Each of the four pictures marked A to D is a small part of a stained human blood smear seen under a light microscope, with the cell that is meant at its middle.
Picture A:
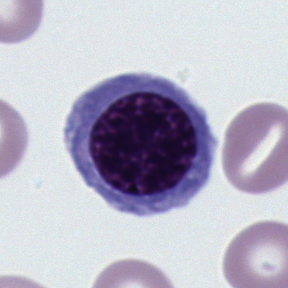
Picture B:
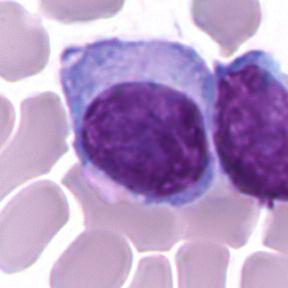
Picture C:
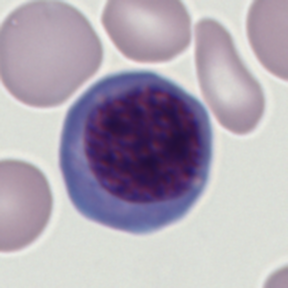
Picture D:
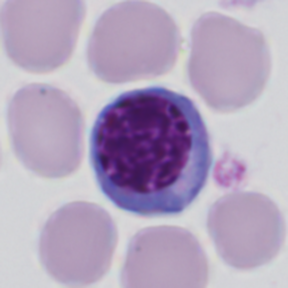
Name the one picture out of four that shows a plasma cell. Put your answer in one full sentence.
Picture B shows the plasma cell.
